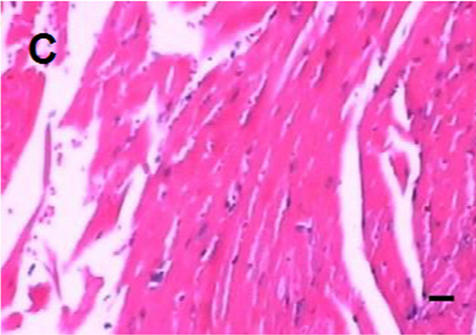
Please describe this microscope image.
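This is heart muscle tissue stained pink with purple nuclei. Long muscle fibers with bright pink cytoplasm run diagonally in parallel bundles across the field. Elongated, oval nuclei lie along the fibers and in the thin spaces between them. White clefts of varying width separate groups of fibers, especially on the left and right sides of the field, likely gaps opened during sectioning. No clusters of small dark round cells are seen between the fibers; the nuclei present are mostly elongated and evenly spread.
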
